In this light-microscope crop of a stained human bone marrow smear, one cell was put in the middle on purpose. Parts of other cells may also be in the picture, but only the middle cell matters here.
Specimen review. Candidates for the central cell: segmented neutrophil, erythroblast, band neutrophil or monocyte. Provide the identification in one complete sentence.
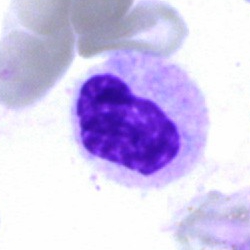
The cell around which this crop is centred is a band neutrophil.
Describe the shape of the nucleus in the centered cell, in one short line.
The nucleus holds together as a single compact mass, round, oval or kidney-like.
